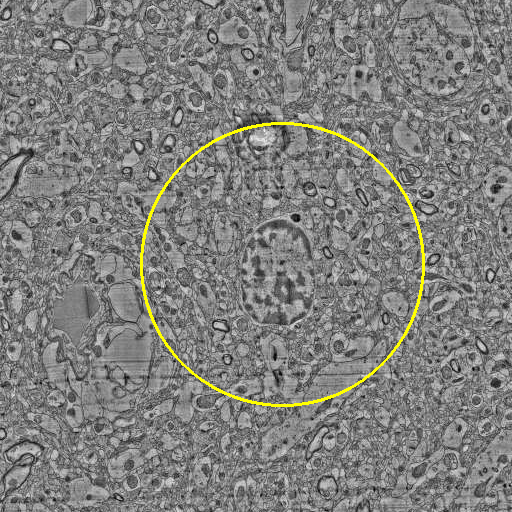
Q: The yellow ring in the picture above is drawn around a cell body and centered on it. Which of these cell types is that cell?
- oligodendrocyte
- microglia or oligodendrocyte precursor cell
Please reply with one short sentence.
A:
The cell body at the ring's center belongs to a microglial cell or oligodendrocyte precursor cell.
